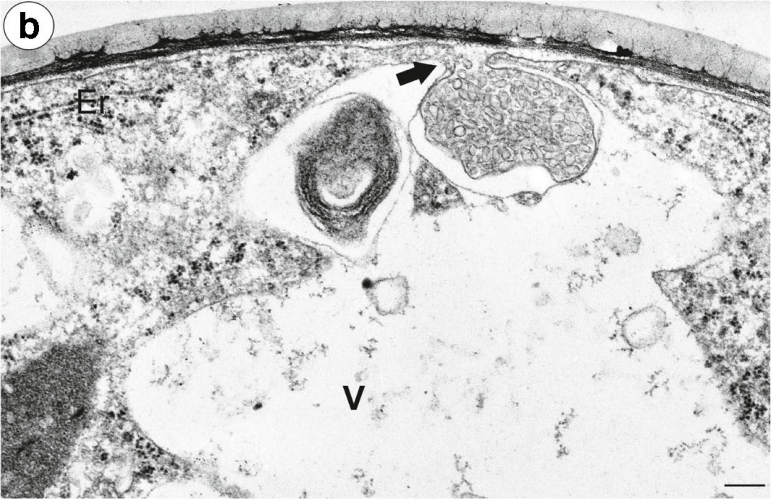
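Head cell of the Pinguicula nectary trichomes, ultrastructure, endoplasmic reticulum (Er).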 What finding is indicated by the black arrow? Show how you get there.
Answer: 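Fusion of the large vesicle connected to the vacuole, which contains membranous material, with plasmalemma. A large vesicle filled with many small membrane profiles lies against the cell wall. The black arrow points to where the vesicle membrane meets the cell surface membrane beneath the wall. The vesicle lies at the edge of a large pale vacuole.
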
